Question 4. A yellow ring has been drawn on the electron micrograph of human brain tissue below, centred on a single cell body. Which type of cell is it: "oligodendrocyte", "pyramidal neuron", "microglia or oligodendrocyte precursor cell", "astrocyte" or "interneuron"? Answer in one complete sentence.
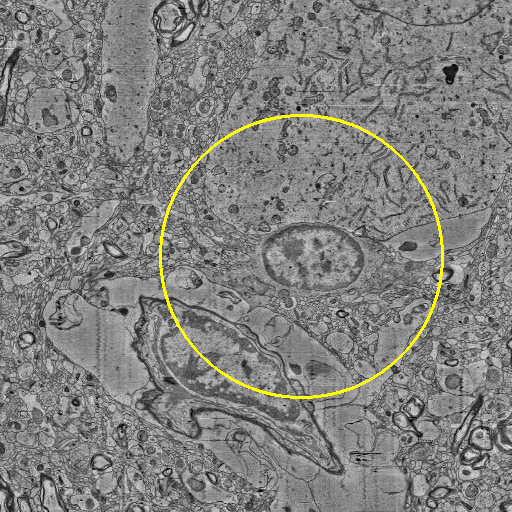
This cell body belongs to an oligodendrocyte.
